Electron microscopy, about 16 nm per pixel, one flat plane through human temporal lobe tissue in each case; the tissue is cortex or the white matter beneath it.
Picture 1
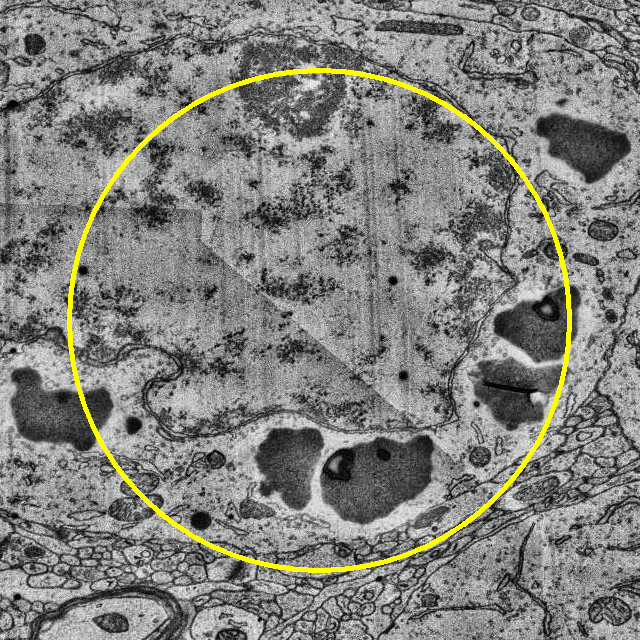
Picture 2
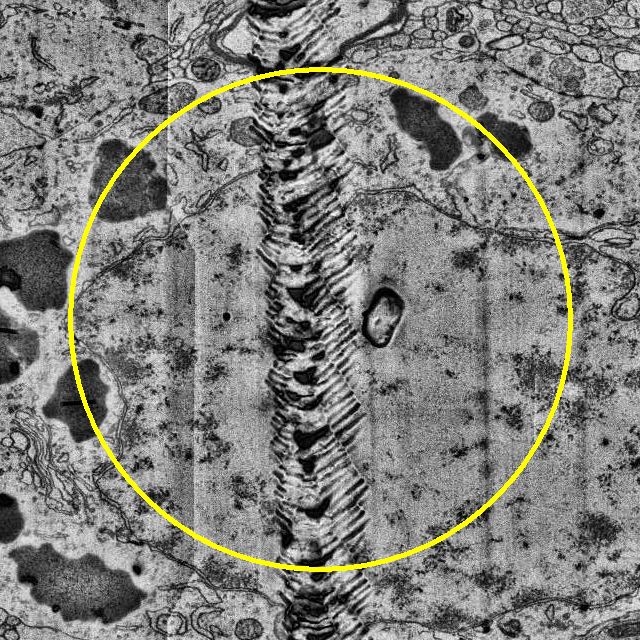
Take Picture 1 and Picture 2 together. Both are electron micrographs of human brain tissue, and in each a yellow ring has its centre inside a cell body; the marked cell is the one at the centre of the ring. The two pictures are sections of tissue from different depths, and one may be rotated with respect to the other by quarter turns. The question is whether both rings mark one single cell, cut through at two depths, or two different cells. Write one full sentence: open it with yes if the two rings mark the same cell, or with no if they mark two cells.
Yes, one cell accounts for both of the yellow rings.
